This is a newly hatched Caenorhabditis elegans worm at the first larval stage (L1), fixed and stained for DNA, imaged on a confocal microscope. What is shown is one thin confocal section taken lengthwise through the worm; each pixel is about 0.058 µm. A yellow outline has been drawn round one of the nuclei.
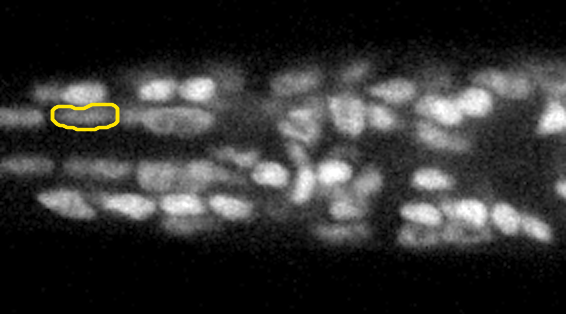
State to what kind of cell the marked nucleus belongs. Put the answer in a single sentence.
The marked nucleus belongs to a pharyngeal muscle cell.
